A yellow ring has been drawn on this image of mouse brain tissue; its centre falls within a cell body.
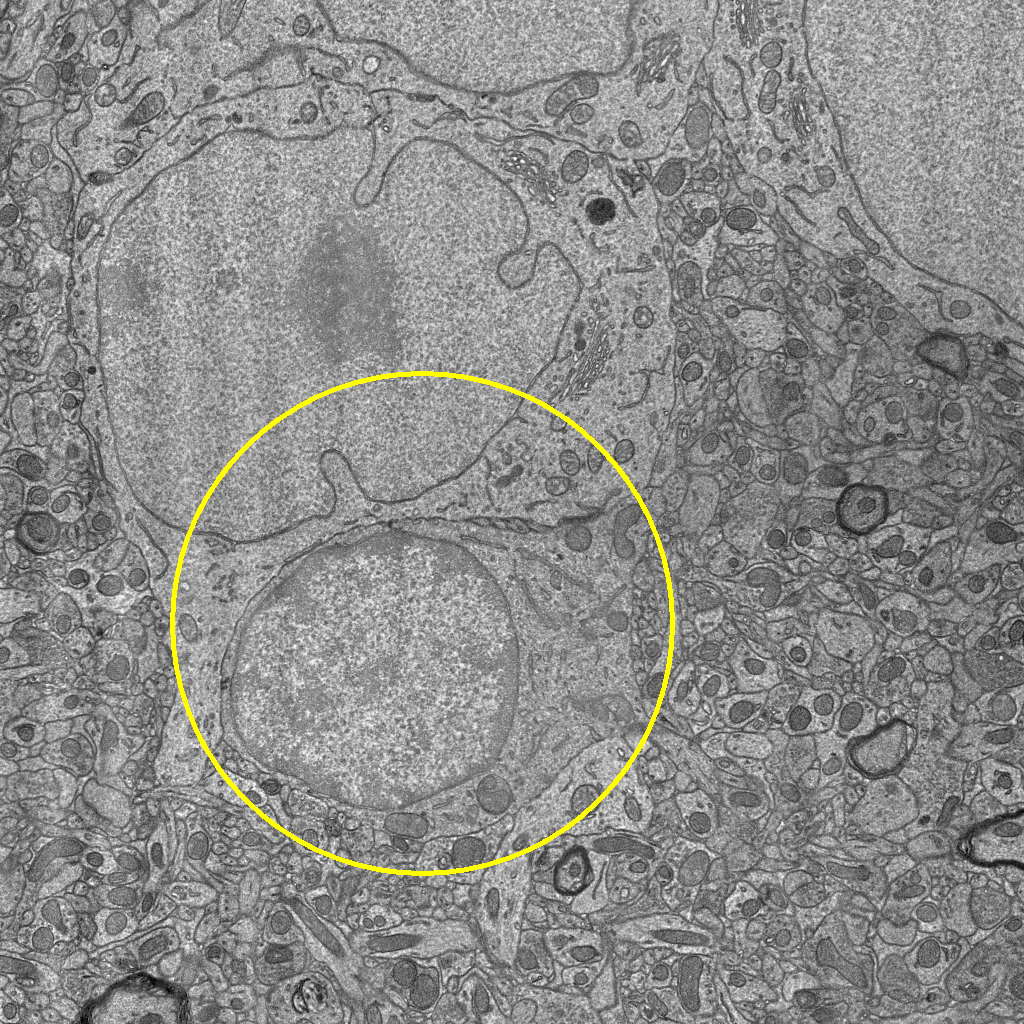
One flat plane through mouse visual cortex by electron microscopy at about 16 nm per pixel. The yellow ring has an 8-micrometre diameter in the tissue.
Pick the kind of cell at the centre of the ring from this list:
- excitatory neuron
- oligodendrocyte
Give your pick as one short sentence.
The centre of the ring holds an oligodendrocyte.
